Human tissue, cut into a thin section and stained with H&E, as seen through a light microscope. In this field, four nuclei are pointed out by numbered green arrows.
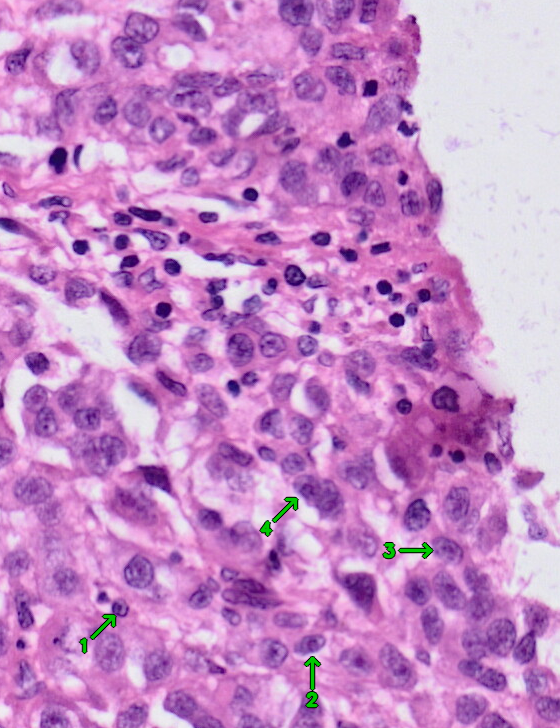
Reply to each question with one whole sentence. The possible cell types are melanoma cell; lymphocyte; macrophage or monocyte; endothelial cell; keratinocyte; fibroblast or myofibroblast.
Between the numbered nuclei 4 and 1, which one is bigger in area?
Nucleus 4 is the larger one, covering about 2 times the area of nucleus 1.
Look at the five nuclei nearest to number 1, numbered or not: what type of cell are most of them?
Melanoma cells account for more than half of the five nuclei nearest to number 1.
